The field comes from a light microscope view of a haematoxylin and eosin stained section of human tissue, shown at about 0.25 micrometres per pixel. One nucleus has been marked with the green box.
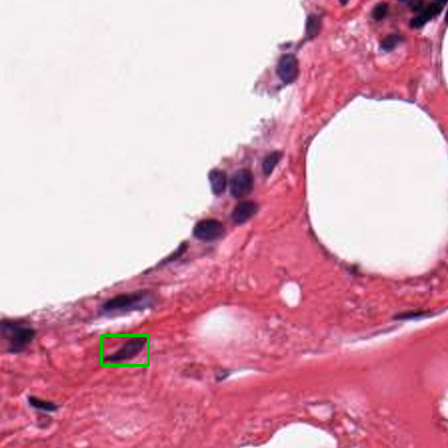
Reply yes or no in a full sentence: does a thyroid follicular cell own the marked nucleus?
No, it is not a thyroid follicular cell but a supporting cell to which the marked nucleus is assigned.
